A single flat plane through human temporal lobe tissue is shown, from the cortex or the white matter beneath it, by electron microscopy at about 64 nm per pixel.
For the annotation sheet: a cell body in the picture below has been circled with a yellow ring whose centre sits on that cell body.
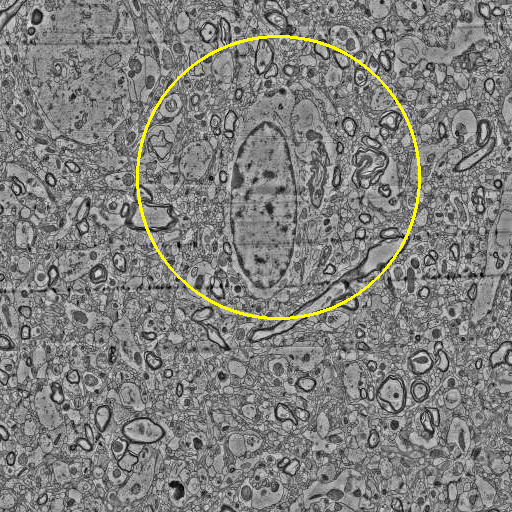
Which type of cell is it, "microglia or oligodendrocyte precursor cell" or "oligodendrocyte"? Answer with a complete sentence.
The circled cell is a microglial cell or oligodendrocyte precursor cell.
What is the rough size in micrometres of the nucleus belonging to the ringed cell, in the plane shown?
Clearly longer than it is wide in this plane, the nucleus measures roughly 10 by 4 micrometres.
